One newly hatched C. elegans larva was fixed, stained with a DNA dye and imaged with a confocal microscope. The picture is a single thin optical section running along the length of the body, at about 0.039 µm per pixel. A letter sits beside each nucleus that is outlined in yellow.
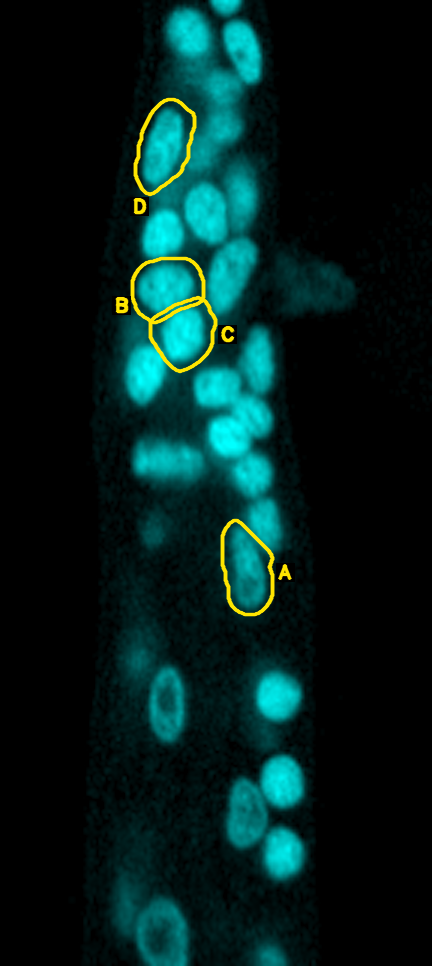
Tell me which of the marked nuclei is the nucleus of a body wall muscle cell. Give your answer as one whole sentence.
D is the nucleus of a body wall muscle cell.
